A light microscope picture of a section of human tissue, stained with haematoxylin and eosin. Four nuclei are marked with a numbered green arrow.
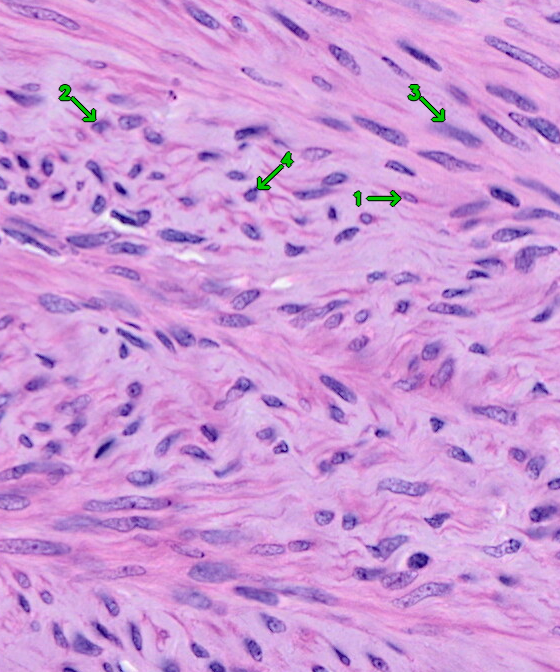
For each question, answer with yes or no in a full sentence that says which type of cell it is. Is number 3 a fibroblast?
Yes, the cell that goes by number 3 is a fibroblast.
